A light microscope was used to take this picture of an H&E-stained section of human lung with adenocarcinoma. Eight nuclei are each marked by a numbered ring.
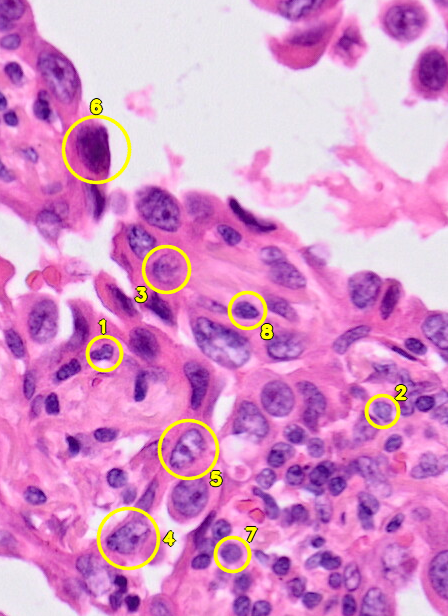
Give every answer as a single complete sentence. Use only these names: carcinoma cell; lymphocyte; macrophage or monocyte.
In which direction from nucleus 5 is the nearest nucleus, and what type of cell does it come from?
Just to the left of nucleus 5 lies the nearest nucleus, which belongs to a macrophage or monocyte.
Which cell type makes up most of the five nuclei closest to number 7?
Of the five nuclei nearest to number 7, most belong to lymphocytes.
